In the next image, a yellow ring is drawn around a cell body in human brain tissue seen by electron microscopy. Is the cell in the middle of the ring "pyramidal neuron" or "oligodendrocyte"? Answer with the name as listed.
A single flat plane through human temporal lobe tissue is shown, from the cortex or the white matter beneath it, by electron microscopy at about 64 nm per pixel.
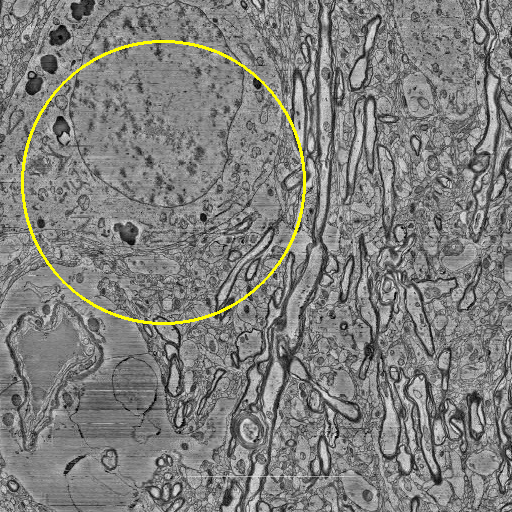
pyramidal neuron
